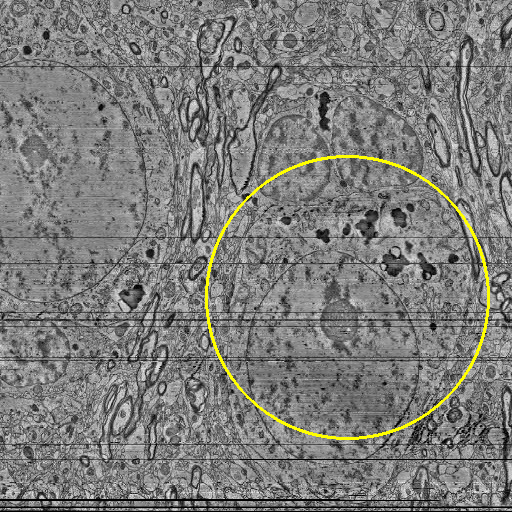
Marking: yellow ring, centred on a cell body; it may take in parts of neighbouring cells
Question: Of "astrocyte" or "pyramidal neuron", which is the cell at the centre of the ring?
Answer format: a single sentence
The ring surrounds the body of a pyramidal neuron.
